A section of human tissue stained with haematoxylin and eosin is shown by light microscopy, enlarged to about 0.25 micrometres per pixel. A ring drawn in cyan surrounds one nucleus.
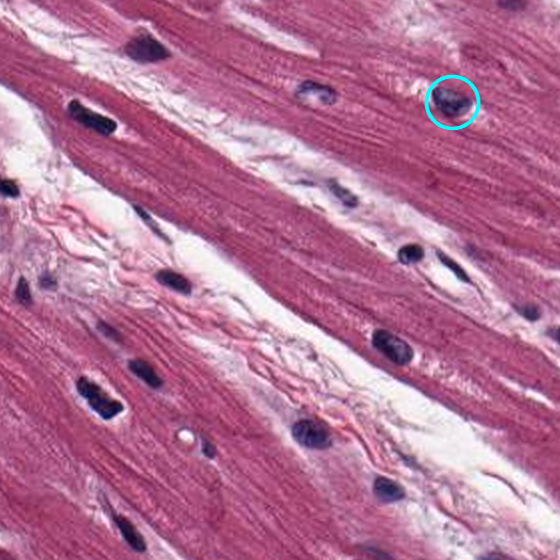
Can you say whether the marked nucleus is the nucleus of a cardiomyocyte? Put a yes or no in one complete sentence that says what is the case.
Yes, the marked nucleus is one that belongs to a cardiomyocyte.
